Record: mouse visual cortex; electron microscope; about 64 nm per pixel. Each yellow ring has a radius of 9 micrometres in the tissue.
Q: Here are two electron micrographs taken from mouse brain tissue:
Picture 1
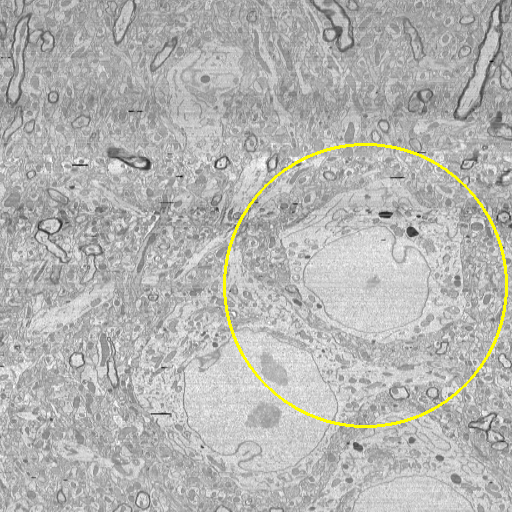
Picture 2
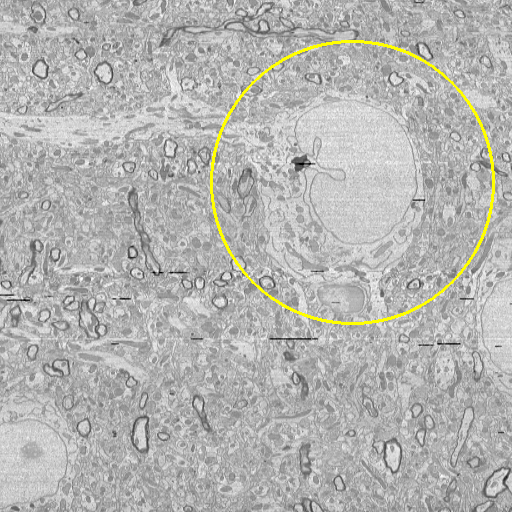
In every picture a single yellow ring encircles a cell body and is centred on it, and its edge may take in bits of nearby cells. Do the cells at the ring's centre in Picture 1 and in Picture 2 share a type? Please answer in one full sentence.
Yes, the cells at the ring's centre in Picture 1 and Picture 2 share a type.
